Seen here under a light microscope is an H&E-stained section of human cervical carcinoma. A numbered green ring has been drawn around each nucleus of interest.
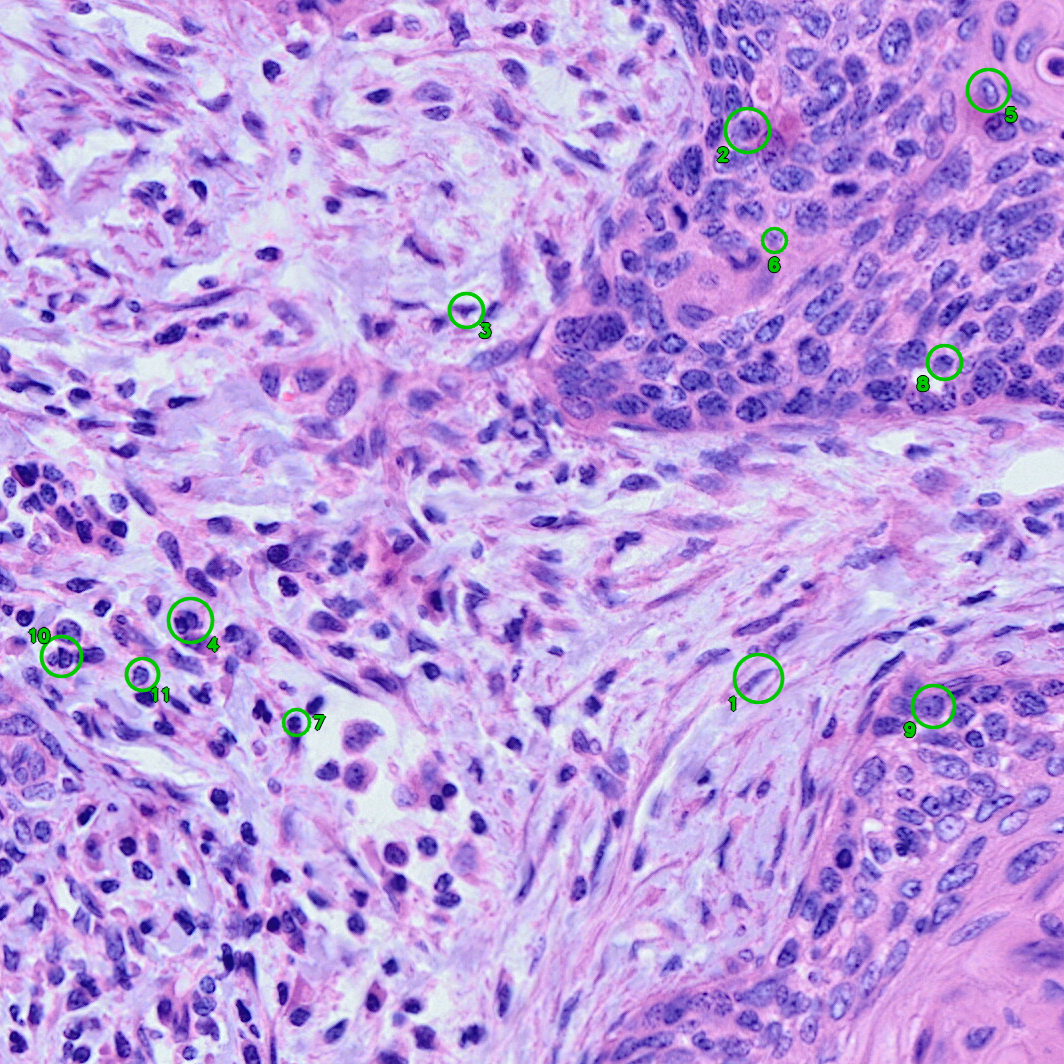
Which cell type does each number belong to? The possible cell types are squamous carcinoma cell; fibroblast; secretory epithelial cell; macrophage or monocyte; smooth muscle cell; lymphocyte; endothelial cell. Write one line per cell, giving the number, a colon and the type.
1: fibroblast
2: squamous carcinoma cell
3: fibroblast
4: lymphocyte
5: squamous carcinoma cell
6: squamous carcinoma cell
7: lymphocyte
8: squamous carcinoma cell
9: squamous carcinoma cell
10: lymphocyte
11: lymphocyte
